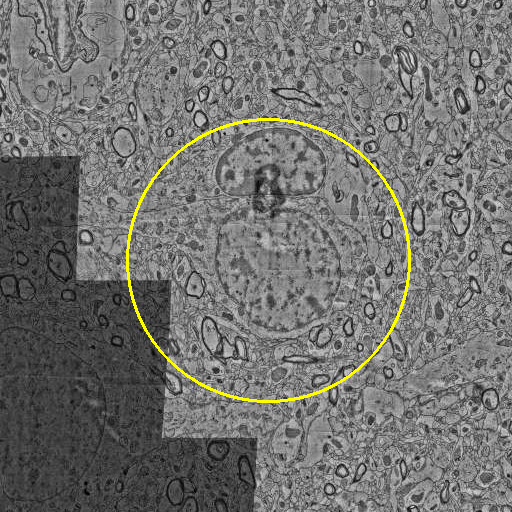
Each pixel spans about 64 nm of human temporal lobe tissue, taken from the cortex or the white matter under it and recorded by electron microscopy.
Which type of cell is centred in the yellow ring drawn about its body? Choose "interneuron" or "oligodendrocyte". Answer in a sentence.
The yellow ring surrounds the cell body of an interneuron.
